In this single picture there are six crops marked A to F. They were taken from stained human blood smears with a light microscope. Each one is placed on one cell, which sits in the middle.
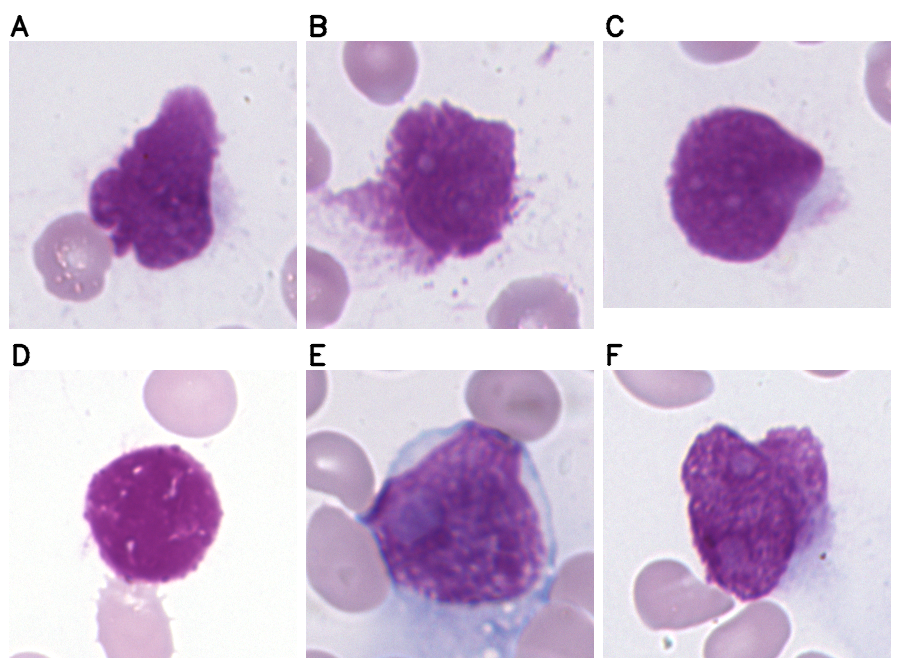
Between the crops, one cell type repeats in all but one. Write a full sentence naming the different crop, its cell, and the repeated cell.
All the crops show smudge cells, barring crop E, which is a myeloblast.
